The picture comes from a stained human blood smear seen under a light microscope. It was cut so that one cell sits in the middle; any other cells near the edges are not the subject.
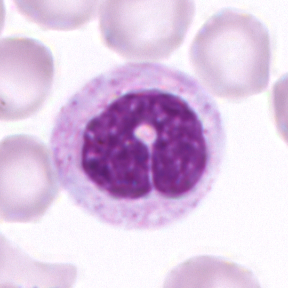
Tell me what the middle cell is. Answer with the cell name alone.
band neutrophil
